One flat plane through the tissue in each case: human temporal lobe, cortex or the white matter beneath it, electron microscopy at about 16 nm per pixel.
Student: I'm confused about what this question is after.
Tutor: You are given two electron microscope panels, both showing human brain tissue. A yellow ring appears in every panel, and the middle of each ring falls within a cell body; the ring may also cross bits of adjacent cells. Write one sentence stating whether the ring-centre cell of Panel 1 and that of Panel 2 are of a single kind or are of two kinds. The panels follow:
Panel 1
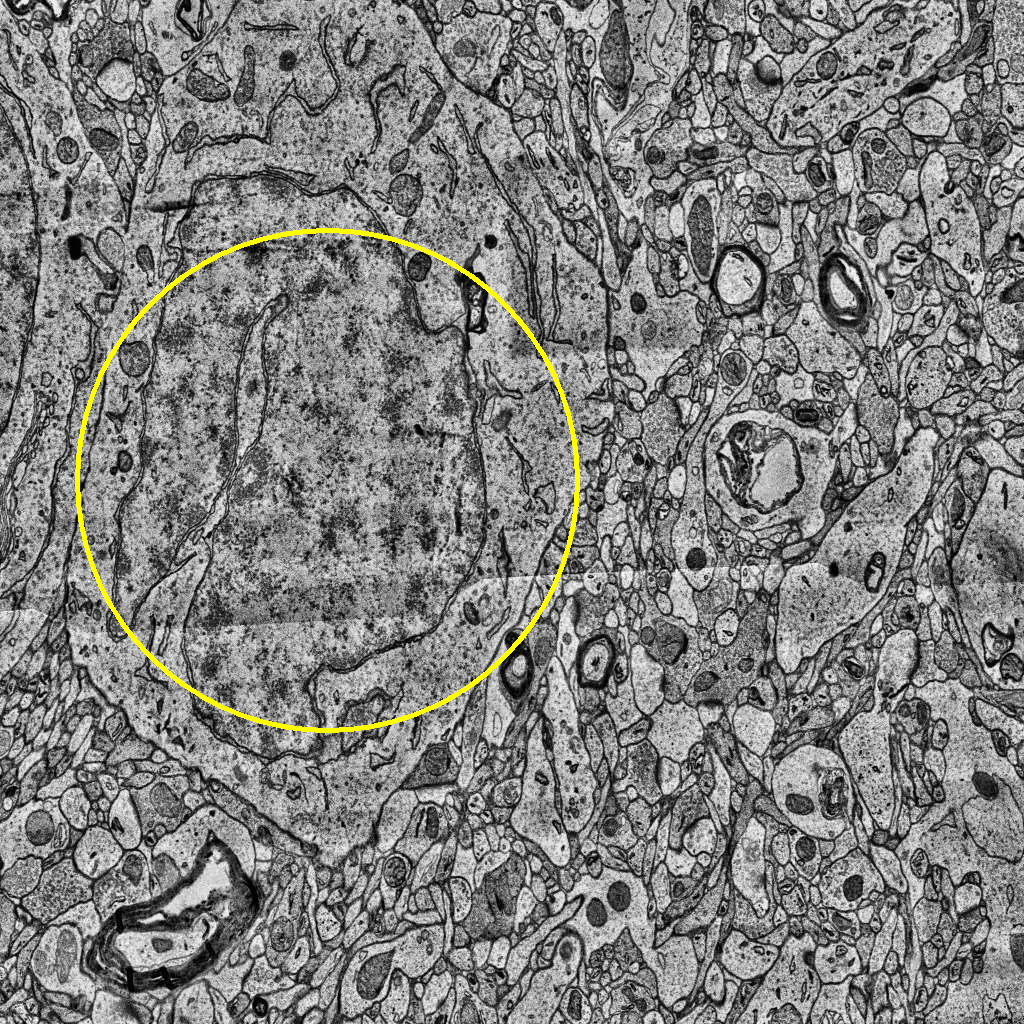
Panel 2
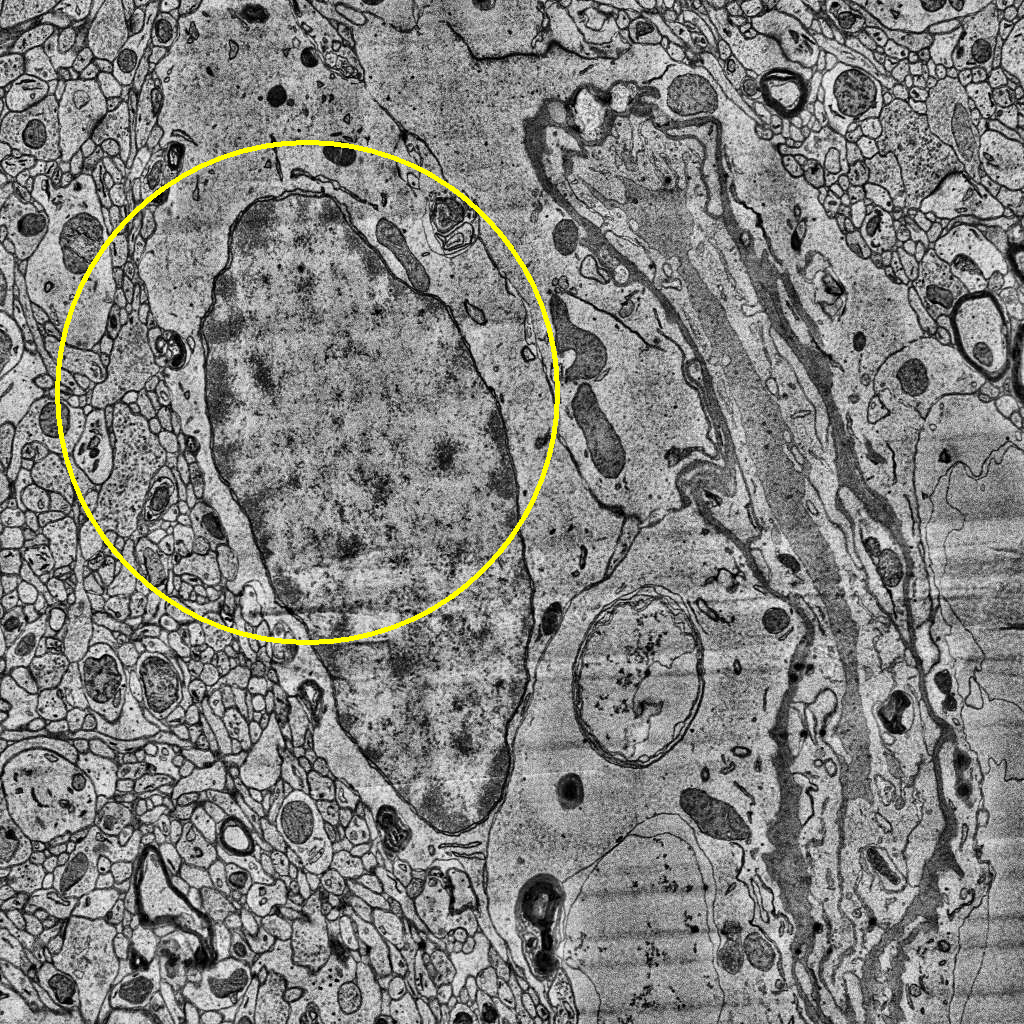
Here, the Panel 1 ring-centre cell and the Panel 2 ring-centre cell are of two kinds.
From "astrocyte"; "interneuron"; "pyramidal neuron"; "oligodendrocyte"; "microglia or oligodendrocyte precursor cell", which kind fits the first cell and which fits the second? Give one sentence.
The first picture shows an interneuron at the ring centre and the second shows a microglial cell or oligodendrocyte precursor cell.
